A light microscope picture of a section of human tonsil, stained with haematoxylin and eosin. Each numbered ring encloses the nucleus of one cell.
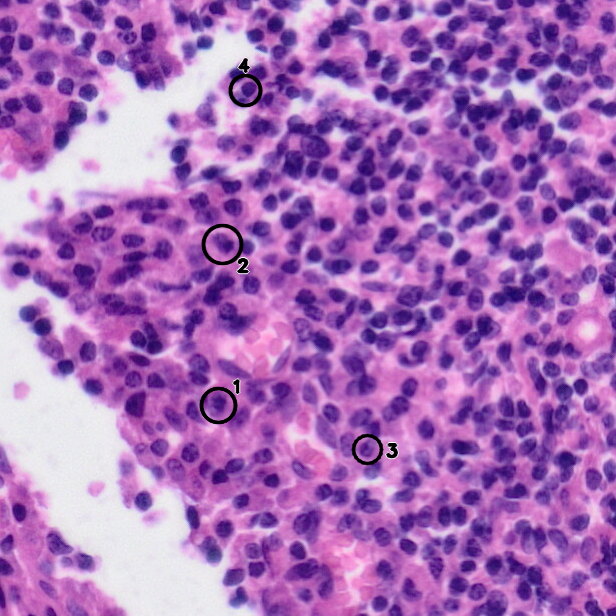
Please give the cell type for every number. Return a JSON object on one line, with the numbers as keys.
{"1": "plasma cell", "2": "plasma cell", "3": "plasma cell", "4": "small lymphocyte"}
